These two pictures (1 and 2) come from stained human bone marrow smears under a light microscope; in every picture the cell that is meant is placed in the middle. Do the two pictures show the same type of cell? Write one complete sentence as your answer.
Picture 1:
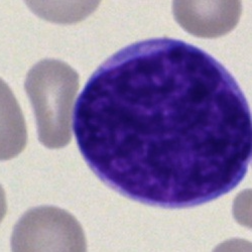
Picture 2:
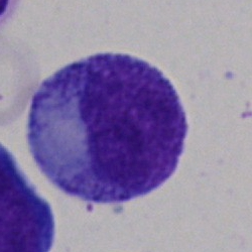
No, they differ: the cell is a blast in picture 1 and a promyelocyte in picture 2.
